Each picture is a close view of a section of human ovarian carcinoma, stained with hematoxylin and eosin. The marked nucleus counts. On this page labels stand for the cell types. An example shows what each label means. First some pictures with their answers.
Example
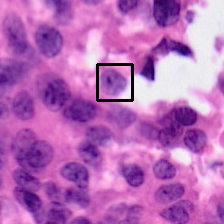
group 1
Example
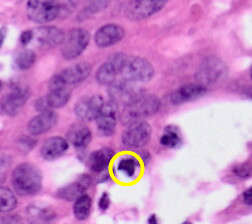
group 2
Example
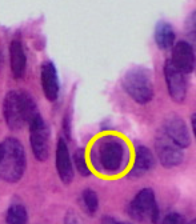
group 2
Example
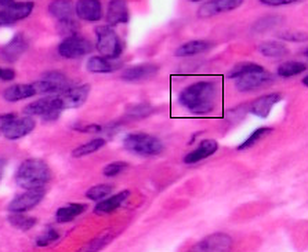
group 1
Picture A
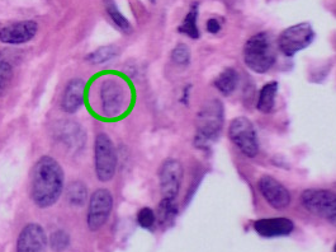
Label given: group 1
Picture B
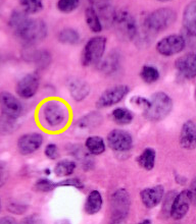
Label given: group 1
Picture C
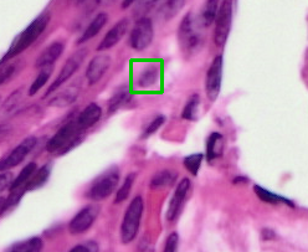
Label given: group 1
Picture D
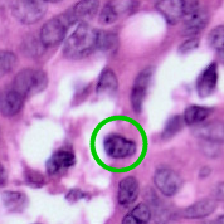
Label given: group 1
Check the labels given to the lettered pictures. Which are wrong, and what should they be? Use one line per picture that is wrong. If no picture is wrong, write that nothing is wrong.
A: group 2, not group 1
